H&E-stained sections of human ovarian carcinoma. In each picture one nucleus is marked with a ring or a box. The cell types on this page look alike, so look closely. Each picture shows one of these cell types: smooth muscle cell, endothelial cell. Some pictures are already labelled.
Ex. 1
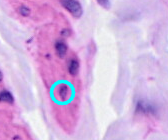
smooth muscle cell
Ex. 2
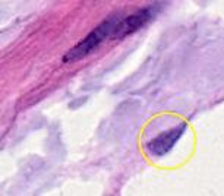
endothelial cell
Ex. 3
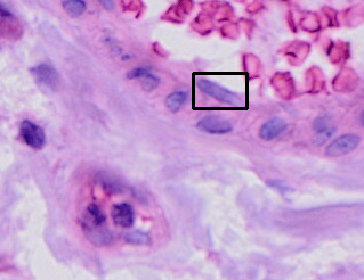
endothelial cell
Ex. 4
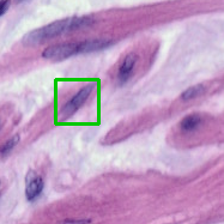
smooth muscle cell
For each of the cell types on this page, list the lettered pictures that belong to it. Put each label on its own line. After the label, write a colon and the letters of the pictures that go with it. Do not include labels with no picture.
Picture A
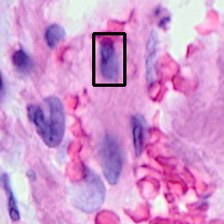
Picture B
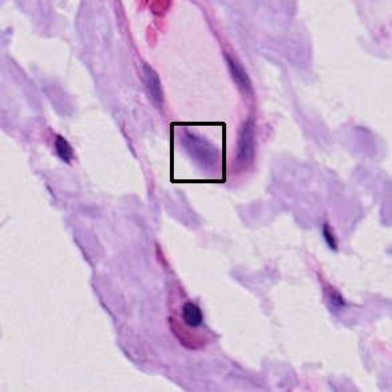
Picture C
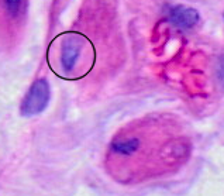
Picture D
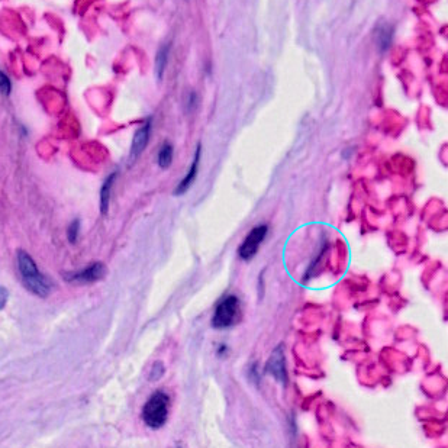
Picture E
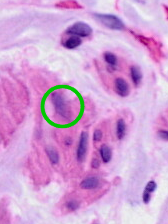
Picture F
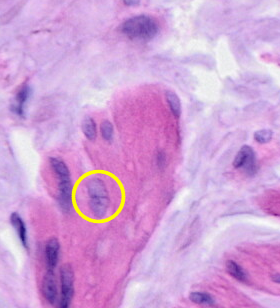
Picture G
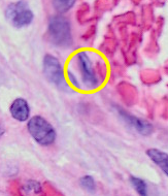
smooth muscle cell: C, E, F
endothelial cell: A, B, D, G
